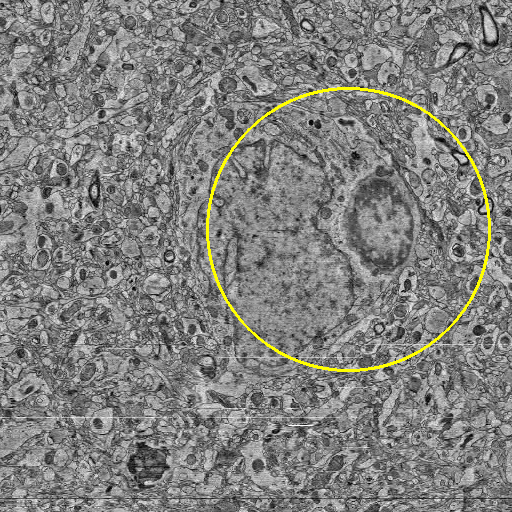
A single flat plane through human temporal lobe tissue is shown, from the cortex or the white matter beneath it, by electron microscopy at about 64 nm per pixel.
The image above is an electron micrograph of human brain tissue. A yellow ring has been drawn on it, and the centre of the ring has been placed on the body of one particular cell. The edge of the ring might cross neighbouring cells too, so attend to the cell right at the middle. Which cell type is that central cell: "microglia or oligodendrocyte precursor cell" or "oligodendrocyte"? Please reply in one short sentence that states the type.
The central cell in the ring is an oligodendrocyte.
